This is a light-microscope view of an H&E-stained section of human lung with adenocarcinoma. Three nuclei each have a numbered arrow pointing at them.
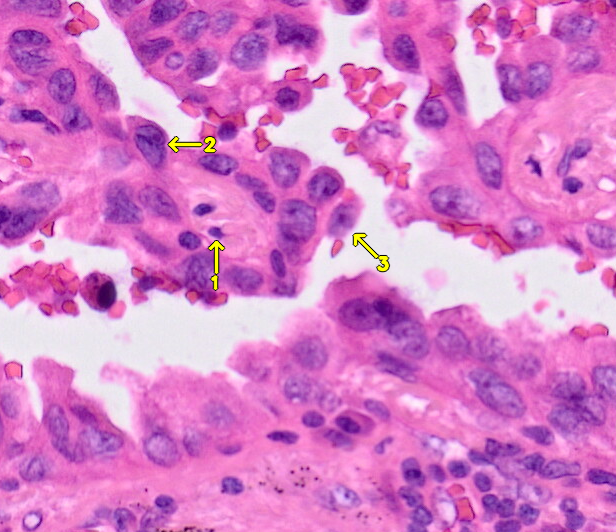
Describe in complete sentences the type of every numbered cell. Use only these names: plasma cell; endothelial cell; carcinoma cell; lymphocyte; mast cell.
Cell 1 is a lymphocyte, cell 2 is a carcinoma cell and cell 3 is a carcinoma cell.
